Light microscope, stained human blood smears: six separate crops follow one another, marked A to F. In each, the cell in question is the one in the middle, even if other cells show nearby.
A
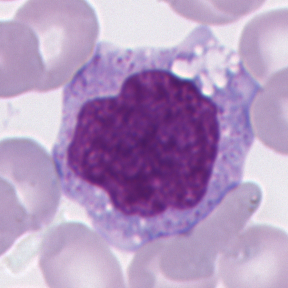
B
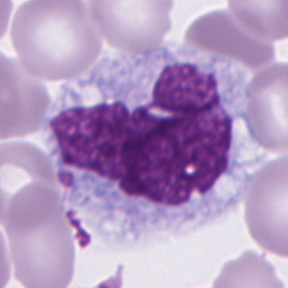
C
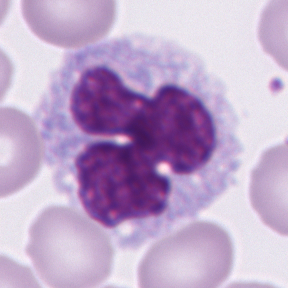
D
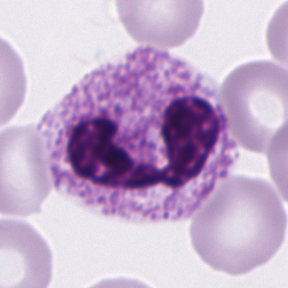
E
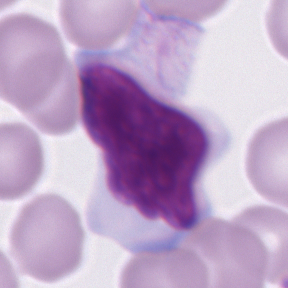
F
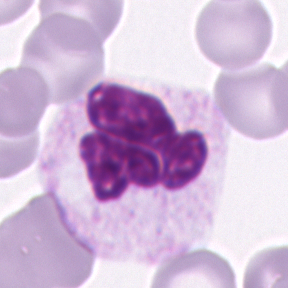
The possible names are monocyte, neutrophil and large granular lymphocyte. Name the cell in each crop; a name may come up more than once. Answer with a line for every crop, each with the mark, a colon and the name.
A: monocyte
B: monocyte
C: monocyte
D: neutrophil
E: large granular lymphocyte
F: neutrophil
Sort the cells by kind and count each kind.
monocyte: 3
neutrophil: 2
large granular lymphocyte: 1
